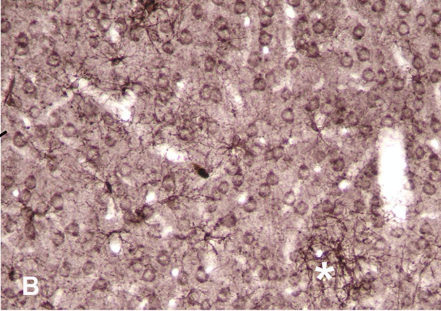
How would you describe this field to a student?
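This is brain tissue with many neuronal cell bodies and scattered astrocytes. The neuronal bodies appear as crowded round profiles with paler centres and darker rims, more densely packed in some parts of the field than in others. Small dark star-shaped astrocytes with fine radiating processes lie among them. Towards the lower right a dense tangle of fine dark processes forms a plexus, and pale elongated vessel profiles cross the field.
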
